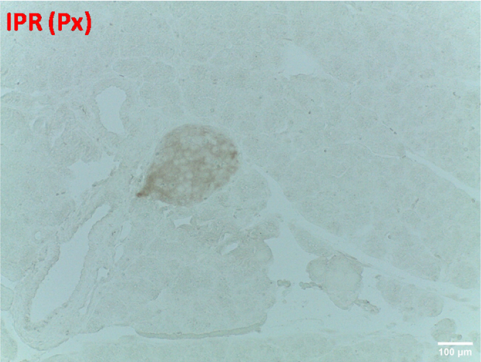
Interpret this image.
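A section of pancreas with a rounded pancreatic islet set among pale exocrine tissue. The islet is well demarcated and only lightly tinted brown, with faint outlines of its cells visible.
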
